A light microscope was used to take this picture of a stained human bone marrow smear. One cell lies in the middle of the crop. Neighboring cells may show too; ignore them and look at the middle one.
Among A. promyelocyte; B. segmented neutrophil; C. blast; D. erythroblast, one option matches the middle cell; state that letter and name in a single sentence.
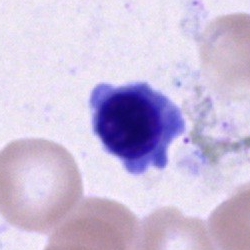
The best answer is option D, since the cell in the middle is an erythroblast.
